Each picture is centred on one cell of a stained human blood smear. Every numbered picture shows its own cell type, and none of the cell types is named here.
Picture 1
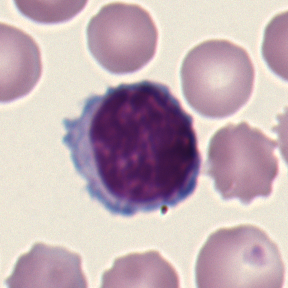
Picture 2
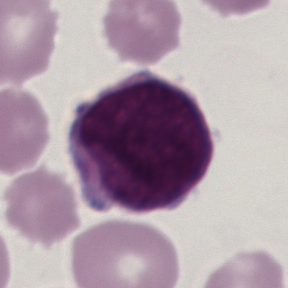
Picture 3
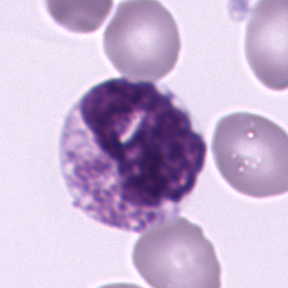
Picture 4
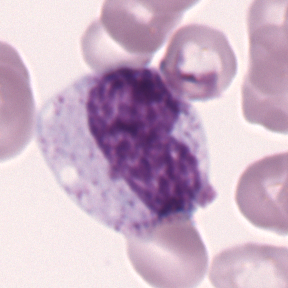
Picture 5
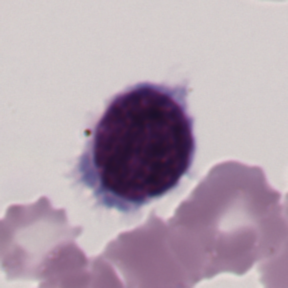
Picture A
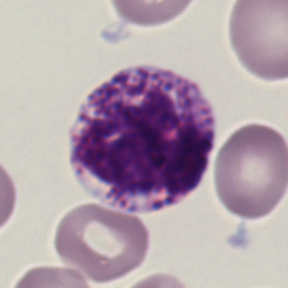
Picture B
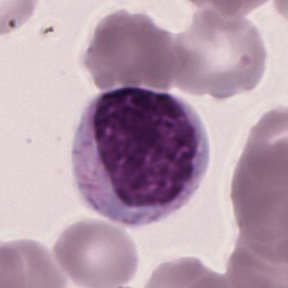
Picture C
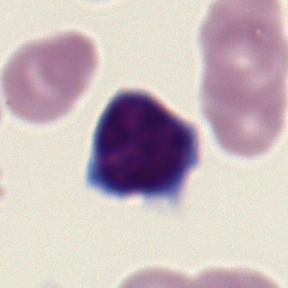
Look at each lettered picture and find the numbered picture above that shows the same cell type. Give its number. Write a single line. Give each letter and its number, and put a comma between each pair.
A 3, B 4, C 1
